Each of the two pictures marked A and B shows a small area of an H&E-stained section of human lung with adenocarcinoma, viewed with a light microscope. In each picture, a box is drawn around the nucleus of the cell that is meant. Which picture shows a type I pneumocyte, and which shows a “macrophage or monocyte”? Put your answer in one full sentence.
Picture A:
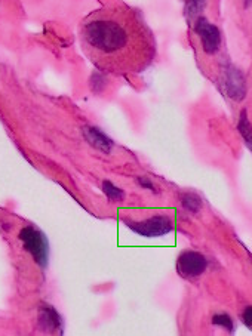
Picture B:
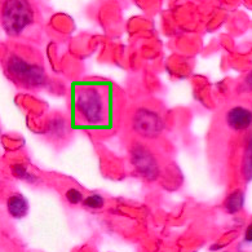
It is picture A that shows a type I pneumocyte, and picture B that shows a “macrophage or monocyte”.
